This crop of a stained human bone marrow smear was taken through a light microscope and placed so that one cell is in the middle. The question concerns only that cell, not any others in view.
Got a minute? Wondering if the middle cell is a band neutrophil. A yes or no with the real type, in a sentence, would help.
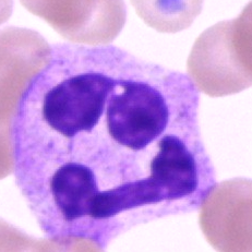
No, the cell placed in the centre is a segmented neutrophil and is not a band neutrophil.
